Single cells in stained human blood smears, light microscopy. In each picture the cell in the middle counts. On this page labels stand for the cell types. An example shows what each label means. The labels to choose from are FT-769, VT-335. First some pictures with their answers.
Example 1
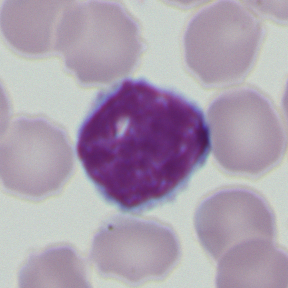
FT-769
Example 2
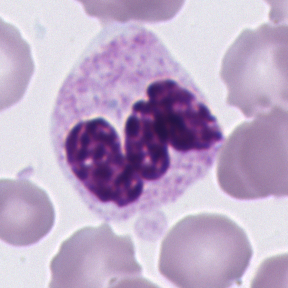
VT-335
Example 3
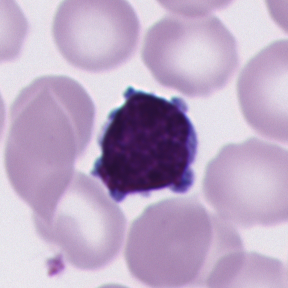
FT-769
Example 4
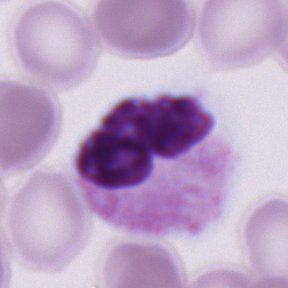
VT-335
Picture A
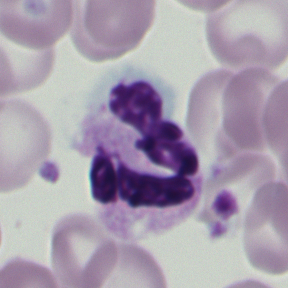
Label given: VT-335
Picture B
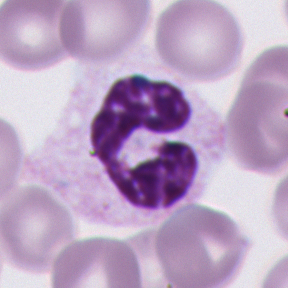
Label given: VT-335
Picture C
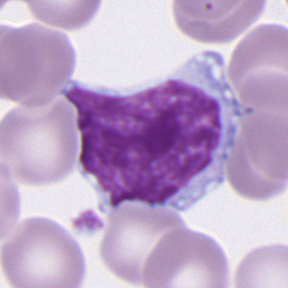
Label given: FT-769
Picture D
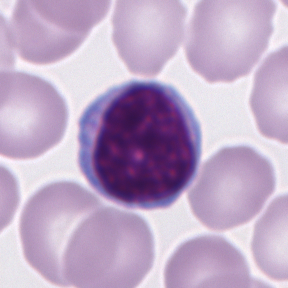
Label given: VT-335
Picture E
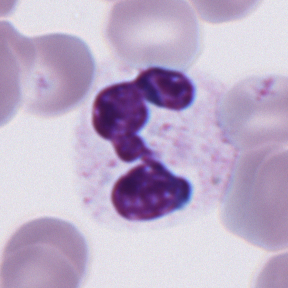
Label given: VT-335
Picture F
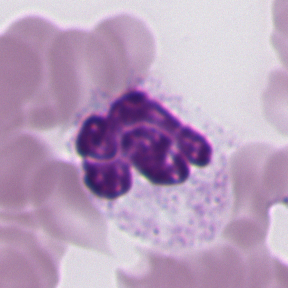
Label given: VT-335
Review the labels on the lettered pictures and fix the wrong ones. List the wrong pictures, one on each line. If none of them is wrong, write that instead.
D should be FT-769, not VT-335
